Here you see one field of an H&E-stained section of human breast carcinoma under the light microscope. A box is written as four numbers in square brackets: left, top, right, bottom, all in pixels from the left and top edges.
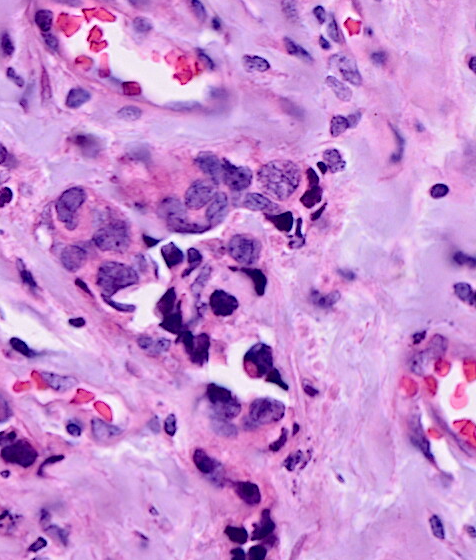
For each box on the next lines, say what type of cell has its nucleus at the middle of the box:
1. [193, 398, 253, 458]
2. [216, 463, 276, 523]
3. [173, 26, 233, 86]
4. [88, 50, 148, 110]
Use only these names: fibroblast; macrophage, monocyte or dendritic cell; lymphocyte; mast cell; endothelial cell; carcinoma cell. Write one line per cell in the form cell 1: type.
cell 1: carcinoma cell
cell 2: carcinoma cell
cell 3: endothelial cell
cell 4: endothelial cell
